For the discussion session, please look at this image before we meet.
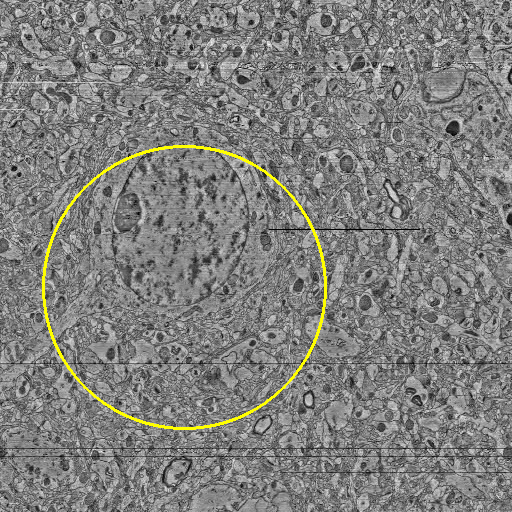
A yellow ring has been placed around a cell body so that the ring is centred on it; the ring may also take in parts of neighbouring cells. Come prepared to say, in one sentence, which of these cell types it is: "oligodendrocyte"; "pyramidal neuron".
The cell centred in the ring is a pyramidal neuron.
